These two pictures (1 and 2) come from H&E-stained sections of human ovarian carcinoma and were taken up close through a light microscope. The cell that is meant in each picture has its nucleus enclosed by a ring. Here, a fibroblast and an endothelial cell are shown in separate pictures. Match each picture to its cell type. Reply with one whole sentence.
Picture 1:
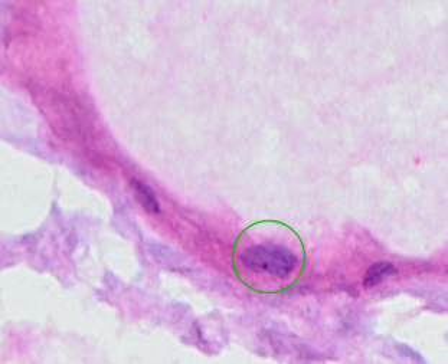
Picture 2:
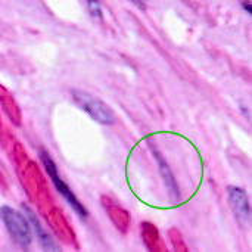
In picture 1 the cell is an endothelial cell; in picture 2, a fibroblast.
